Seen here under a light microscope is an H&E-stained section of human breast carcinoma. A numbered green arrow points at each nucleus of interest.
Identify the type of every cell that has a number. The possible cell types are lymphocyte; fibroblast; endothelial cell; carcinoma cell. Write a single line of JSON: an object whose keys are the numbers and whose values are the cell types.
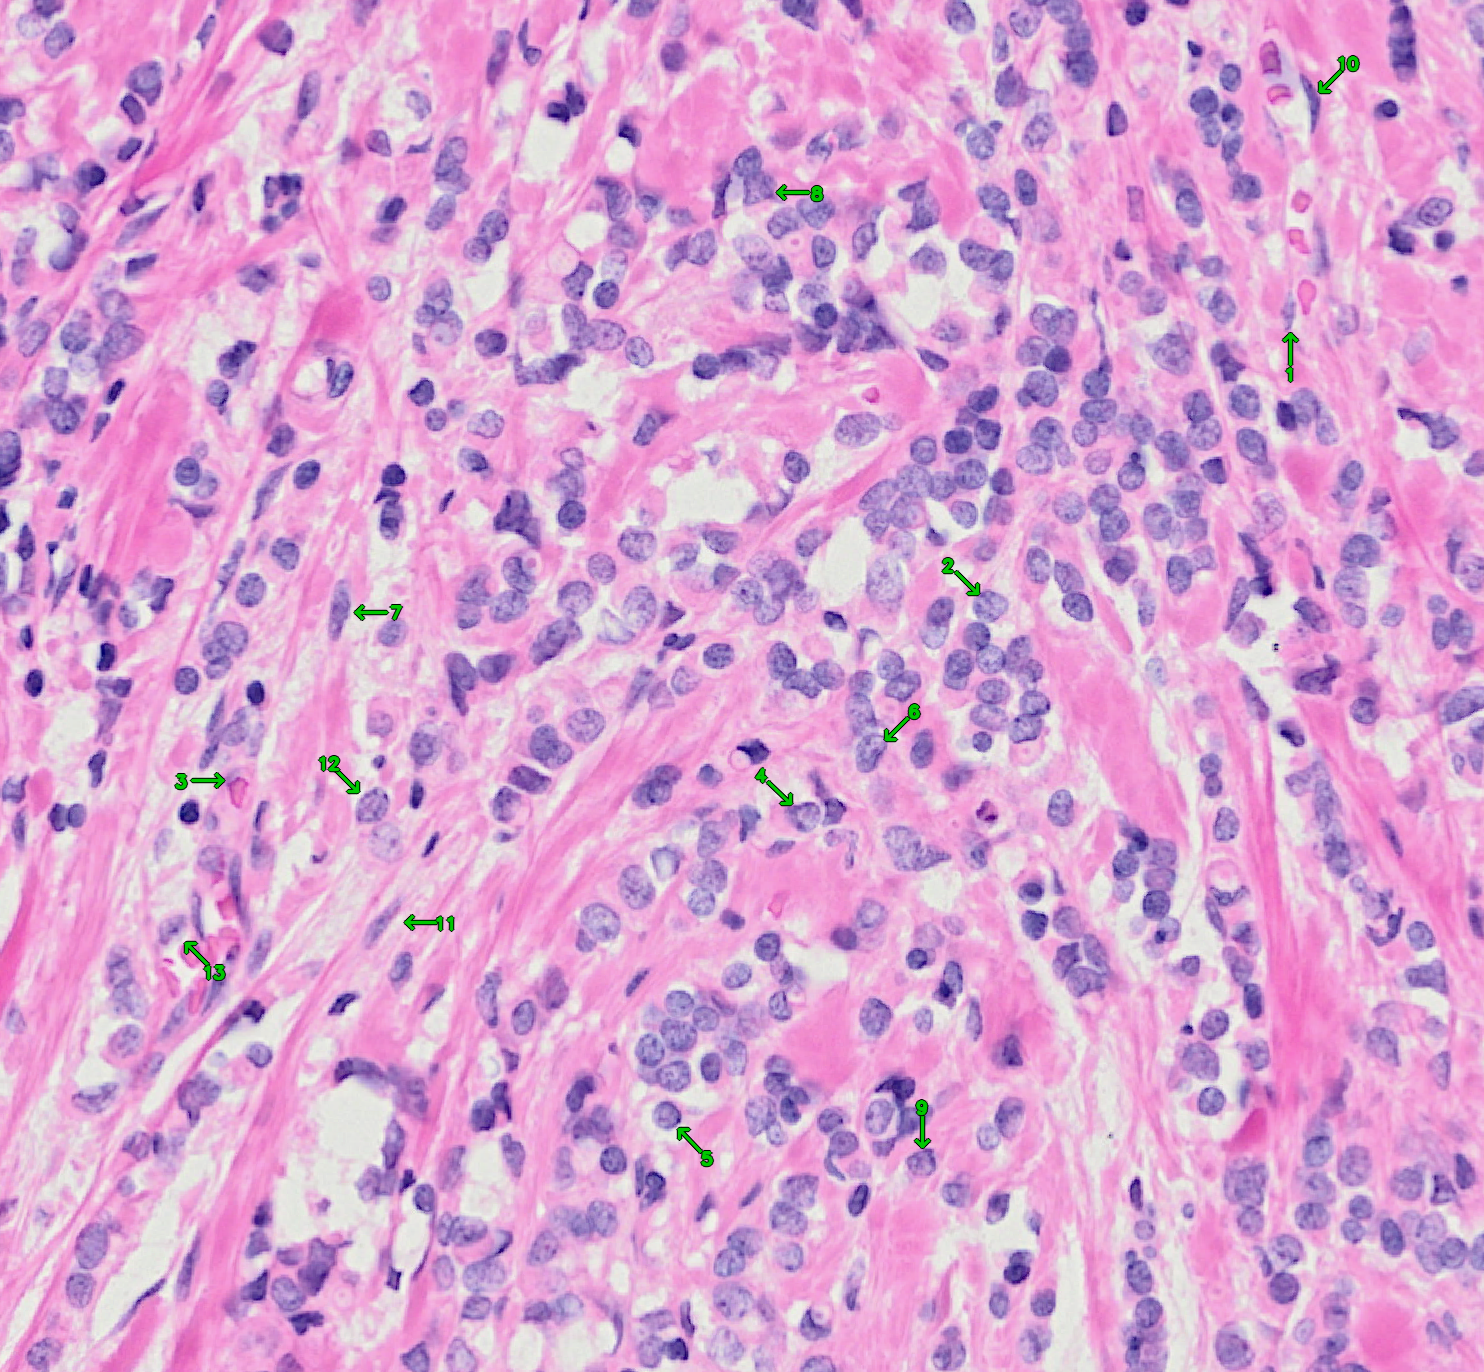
{"1": "endothelial cell", "2": "carcinoma cell", "3": "endothelial cell", "4": "carcinoma cell", "5": "carcinoma cell", "6": "carcinoma cell", "7": "fibroblast", "8": "carcinoma cell", "9": "carcinoma cell", "10": "endothelial cell", "11": "fibroblast", "12": "carcinoma cell", "13": "endothelial cell"}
